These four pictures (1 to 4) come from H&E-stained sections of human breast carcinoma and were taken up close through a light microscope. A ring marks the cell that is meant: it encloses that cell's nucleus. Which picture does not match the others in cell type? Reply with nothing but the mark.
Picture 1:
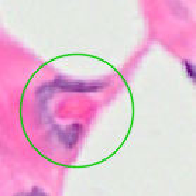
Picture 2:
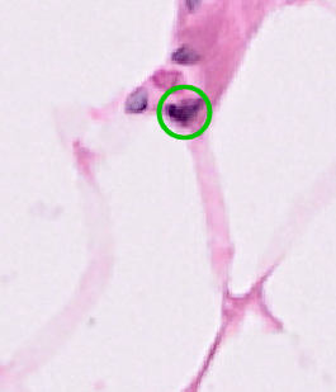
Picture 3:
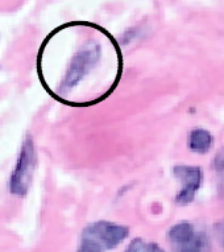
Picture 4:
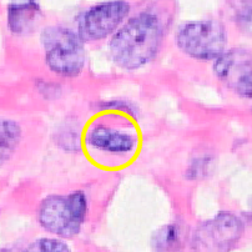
3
